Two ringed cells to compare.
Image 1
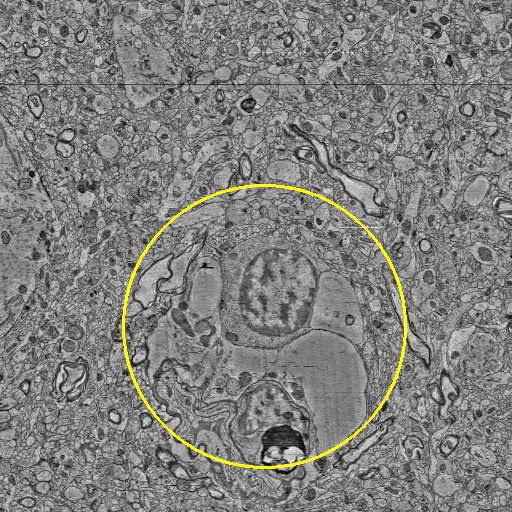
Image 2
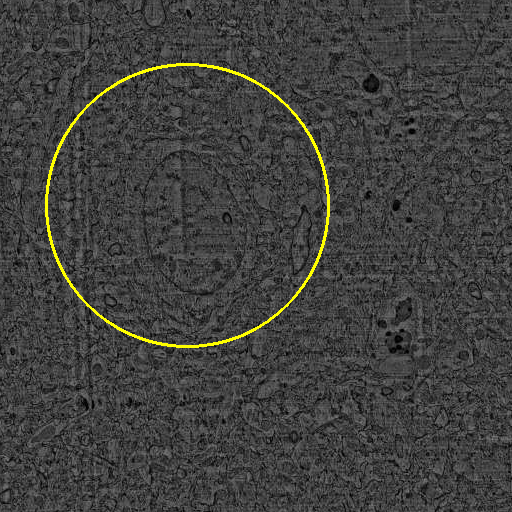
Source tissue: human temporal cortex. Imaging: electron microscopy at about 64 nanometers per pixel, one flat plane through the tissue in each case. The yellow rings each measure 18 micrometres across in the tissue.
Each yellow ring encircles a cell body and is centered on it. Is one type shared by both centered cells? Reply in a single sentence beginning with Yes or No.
No, two types are found among the cells at the centers of the rings.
